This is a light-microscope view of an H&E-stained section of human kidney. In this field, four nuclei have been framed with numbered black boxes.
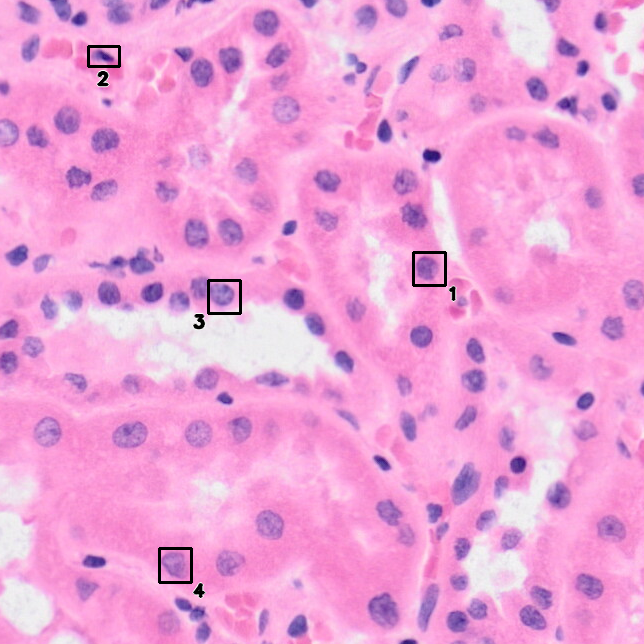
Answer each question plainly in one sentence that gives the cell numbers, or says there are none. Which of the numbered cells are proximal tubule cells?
In terms of cell type, cells 1 and 4 are proximal tubule cells.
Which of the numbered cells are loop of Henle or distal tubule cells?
Of all the numbered cells, only one is a loop of Henle or distal tubule cell, and that is cell 3.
